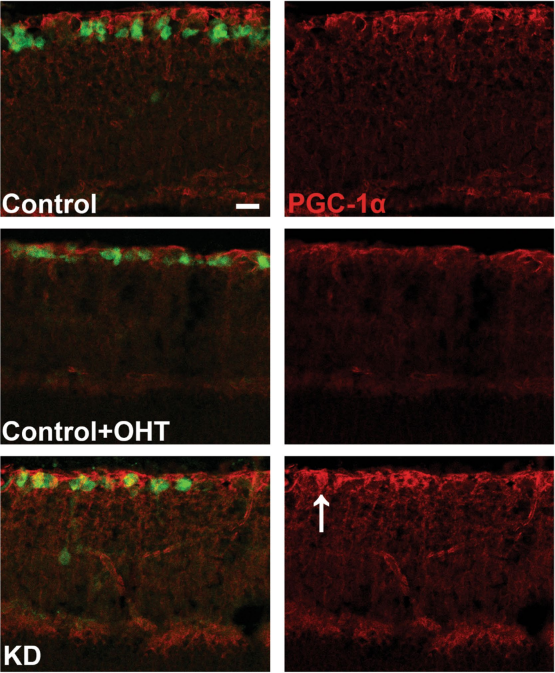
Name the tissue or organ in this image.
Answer: Inner retina.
